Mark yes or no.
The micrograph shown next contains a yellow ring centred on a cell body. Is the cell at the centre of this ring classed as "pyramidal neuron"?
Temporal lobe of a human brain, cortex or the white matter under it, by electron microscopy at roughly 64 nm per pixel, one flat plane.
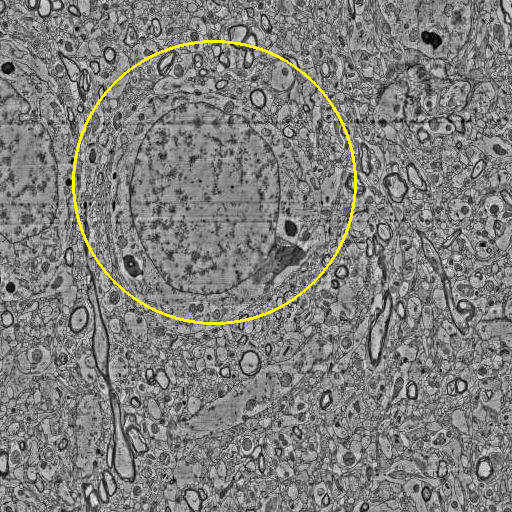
yes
